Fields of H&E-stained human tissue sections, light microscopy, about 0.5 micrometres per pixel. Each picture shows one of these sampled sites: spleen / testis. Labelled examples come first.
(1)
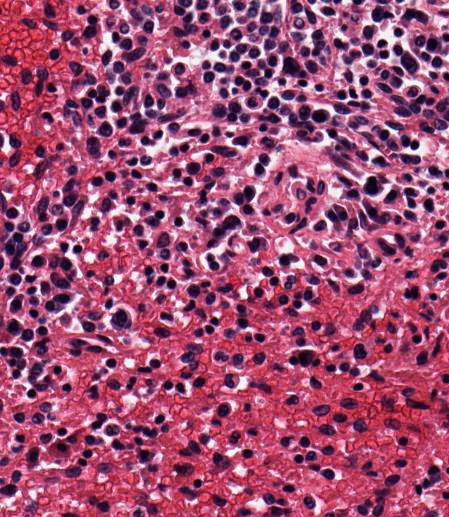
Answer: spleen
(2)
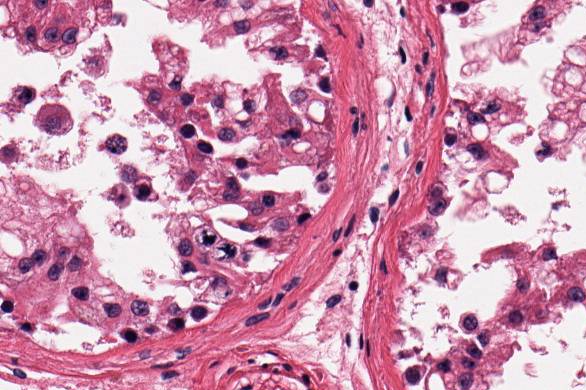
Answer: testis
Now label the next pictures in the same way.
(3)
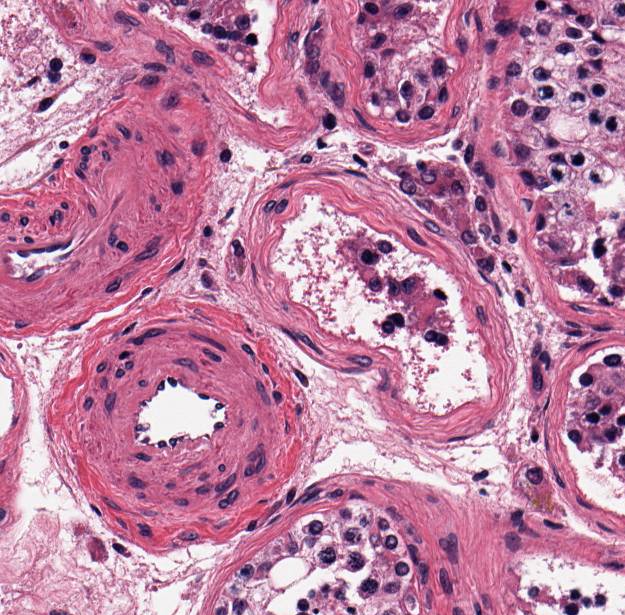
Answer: testis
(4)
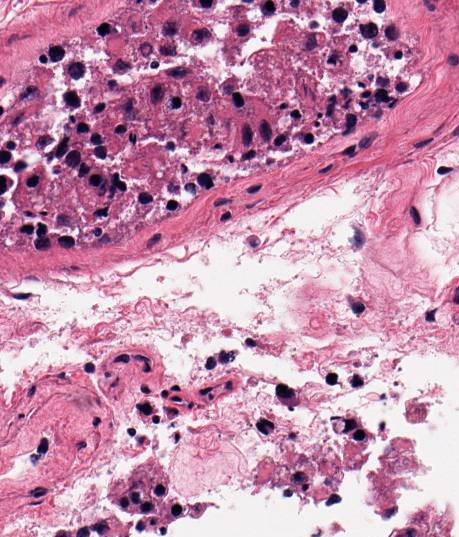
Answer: testis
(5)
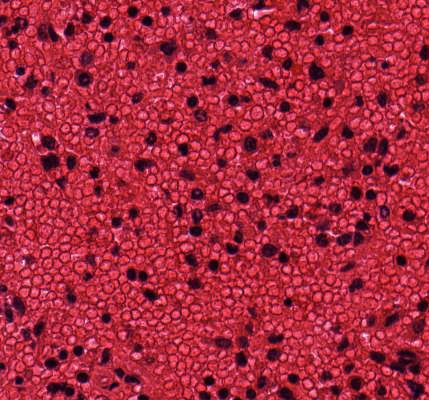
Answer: spleen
